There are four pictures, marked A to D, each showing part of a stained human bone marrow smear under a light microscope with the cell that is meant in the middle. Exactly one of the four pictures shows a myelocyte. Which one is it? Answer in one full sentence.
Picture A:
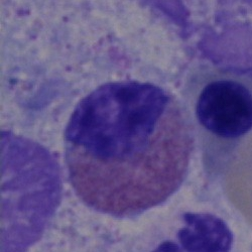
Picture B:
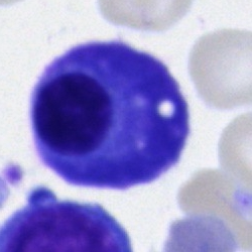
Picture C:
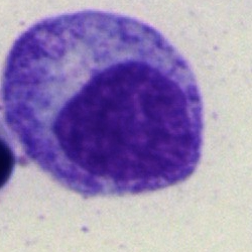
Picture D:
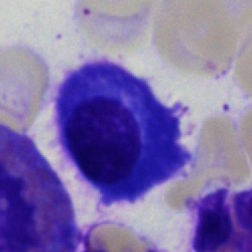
The cell in picture C is the myelocyte.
